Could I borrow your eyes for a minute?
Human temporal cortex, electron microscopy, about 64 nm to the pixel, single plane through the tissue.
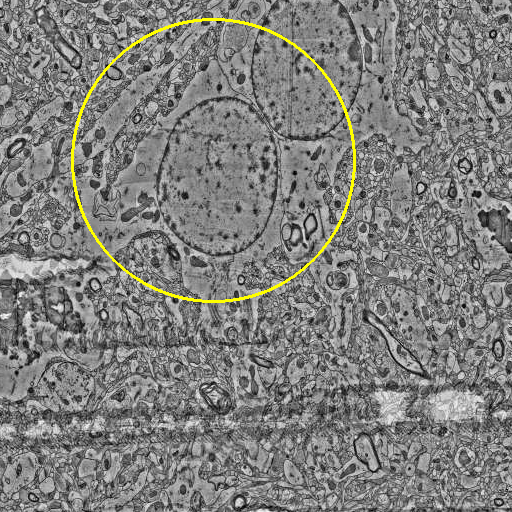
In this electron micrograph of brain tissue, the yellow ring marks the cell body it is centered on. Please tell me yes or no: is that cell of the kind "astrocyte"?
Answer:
yes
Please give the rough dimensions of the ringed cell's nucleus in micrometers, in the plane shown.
About 10 by 8 micrometers, in this plane.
